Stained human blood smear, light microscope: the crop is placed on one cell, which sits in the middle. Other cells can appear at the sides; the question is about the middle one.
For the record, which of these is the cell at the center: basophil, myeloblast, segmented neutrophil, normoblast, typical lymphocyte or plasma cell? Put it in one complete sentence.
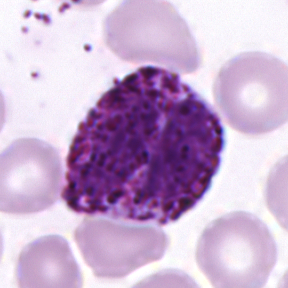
In the crop, the cell of interest at the centre is a basophil.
